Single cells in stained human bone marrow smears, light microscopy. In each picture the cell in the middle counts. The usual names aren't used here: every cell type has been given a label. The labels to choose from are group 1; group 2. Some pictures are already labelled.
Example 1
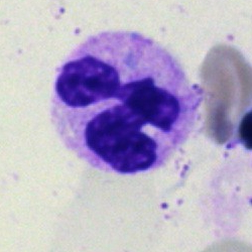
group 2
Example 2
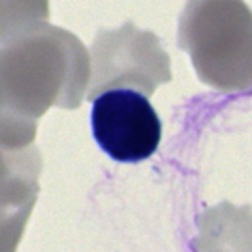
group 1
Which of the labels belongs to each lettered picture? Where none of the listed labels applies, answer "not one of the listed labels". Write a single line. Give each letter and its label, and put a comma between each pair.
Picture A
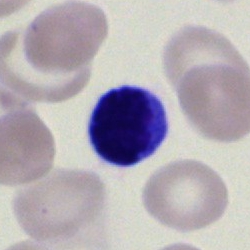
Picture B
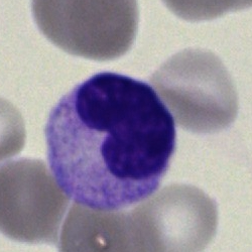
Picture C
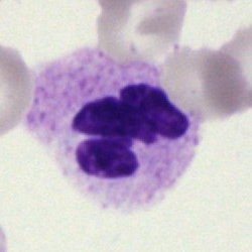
A group 1, B not one of the listed labels, C group 2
